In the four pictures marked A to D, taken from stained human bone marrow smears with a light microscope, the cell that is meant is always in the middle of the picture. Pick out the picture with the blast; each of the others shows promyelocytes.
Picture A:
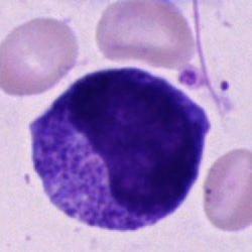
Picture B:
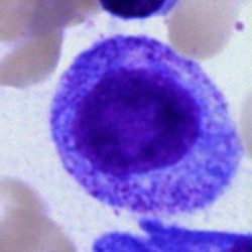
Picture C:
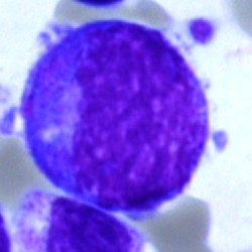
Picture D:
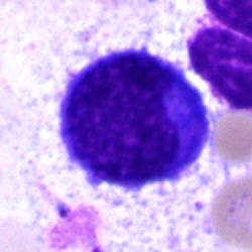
D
